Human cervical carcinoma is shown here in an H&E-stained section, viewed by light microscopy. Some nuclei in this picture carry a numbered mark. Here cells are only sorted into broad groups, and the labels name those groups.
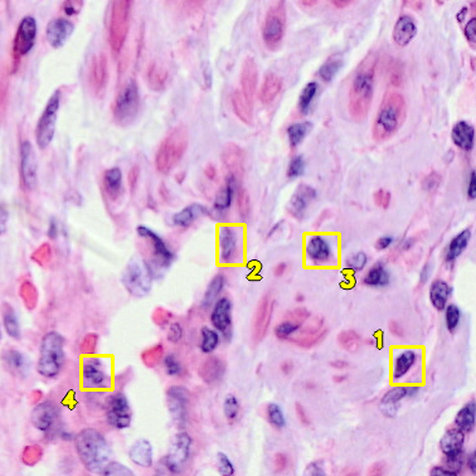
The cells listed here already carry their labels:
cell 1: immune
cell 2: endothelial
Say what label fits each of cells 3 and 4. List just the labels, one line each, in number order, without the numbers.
immune
endothelial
